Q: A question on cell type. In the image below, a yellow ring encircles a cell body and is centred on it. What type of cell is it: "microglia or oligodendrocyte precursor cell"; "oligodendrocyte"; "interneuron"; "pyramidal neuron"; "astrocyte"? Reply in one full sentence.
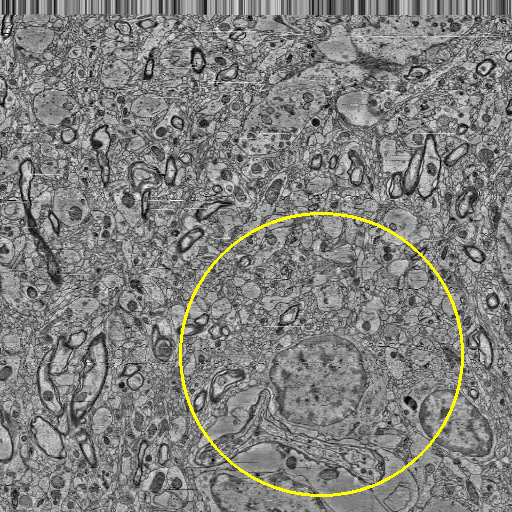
It is an oligodendrocyte whose cell body sits at the centre of the yellow ring in the image.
